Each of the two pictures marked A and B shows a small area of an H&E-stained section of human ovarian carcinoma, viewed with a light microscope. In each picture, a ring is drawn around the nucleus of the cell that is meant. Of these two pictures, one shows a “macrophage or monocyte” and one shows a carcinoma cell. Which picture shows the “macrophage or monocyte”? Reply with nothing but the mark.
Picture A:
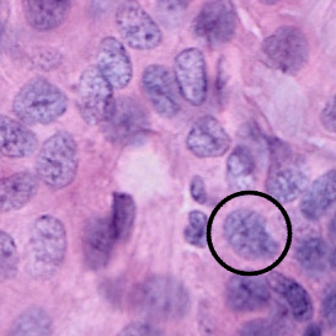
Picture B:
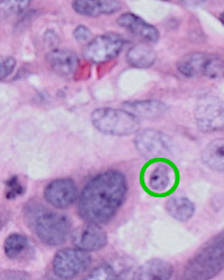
B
